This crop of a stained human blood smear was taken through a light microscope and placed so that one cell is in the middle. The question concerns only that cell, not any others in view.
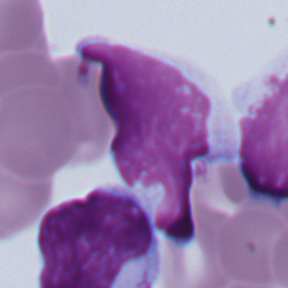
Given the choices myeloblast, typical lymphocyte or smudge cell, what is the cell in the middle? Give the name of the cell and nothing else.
typical lymphocyte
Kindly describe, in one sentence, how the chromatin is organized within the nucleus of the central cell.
What stands out is fine chromatin lacking any coarse clumps.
